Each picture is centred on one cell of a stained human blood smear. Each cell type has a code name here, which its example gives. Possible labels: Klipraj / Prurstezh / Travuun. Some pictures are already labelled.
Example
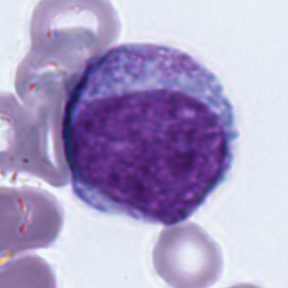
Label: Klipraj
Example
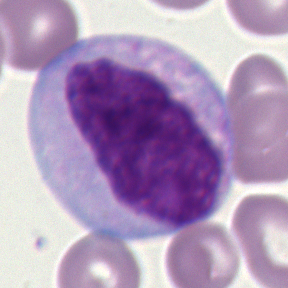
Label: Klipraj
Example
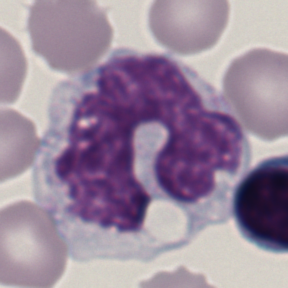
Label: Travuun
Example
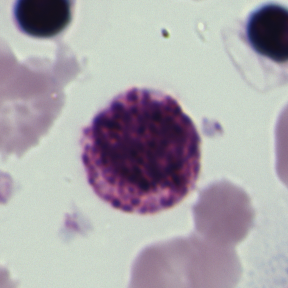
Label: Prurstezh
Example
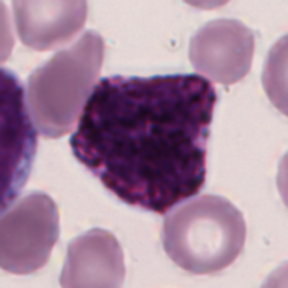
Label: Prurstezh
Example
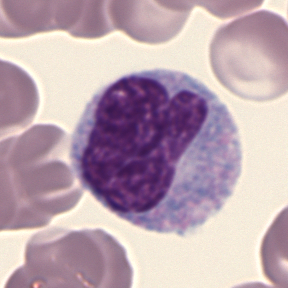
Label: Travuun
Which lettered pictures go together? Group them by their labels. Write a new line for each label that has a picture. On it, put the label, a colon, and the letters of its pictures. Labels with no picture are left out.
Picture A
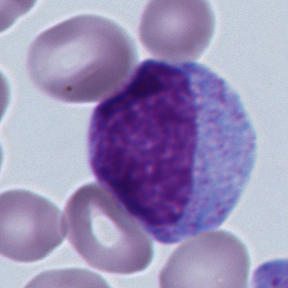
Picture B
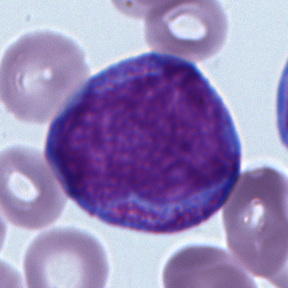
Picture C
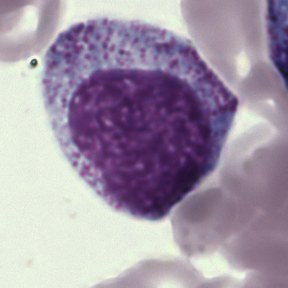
Klipraj: A, B, C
